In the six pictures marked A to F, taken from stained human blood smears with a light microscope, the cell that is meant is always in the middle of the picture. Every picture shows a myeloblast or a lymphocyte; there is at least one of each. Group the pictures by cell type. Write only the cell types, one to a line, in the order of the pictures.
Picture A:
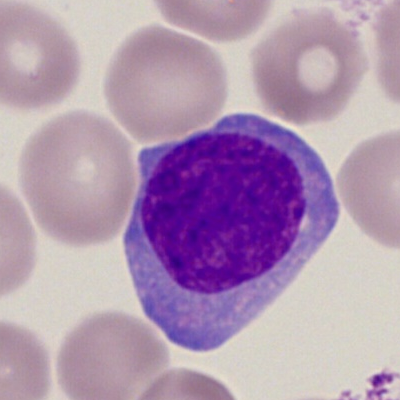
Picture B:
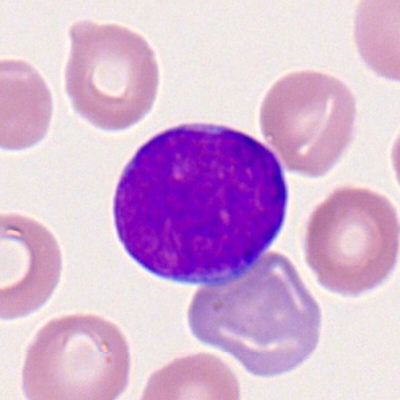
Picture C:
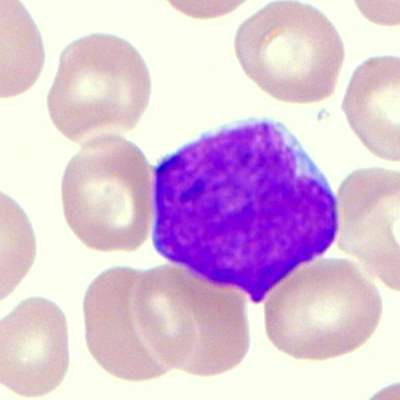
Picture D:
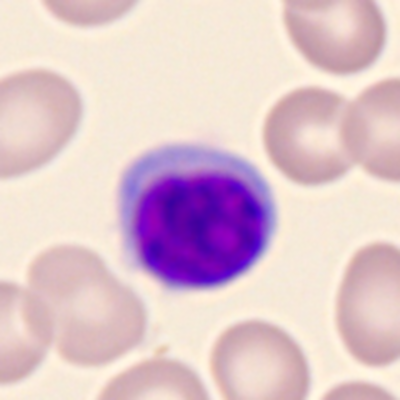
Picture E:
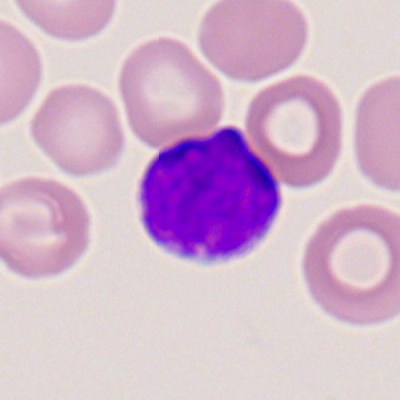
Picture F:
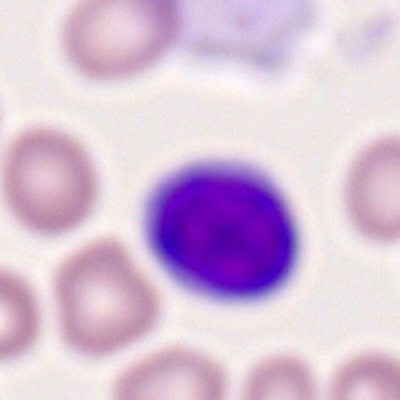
myeloblast
myeloblast
myeloblast
lymphocyte
myeloblast
lymphocyte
